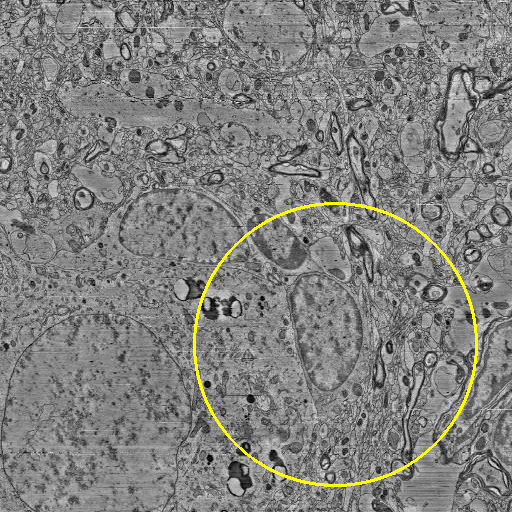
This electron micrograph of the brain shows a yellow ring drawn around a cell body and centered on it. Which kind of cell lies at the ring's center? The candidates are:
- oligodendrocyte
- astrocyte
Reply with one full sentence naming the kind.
The cell lying at the ring's center in this micrograph is an oligodendrocyte.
